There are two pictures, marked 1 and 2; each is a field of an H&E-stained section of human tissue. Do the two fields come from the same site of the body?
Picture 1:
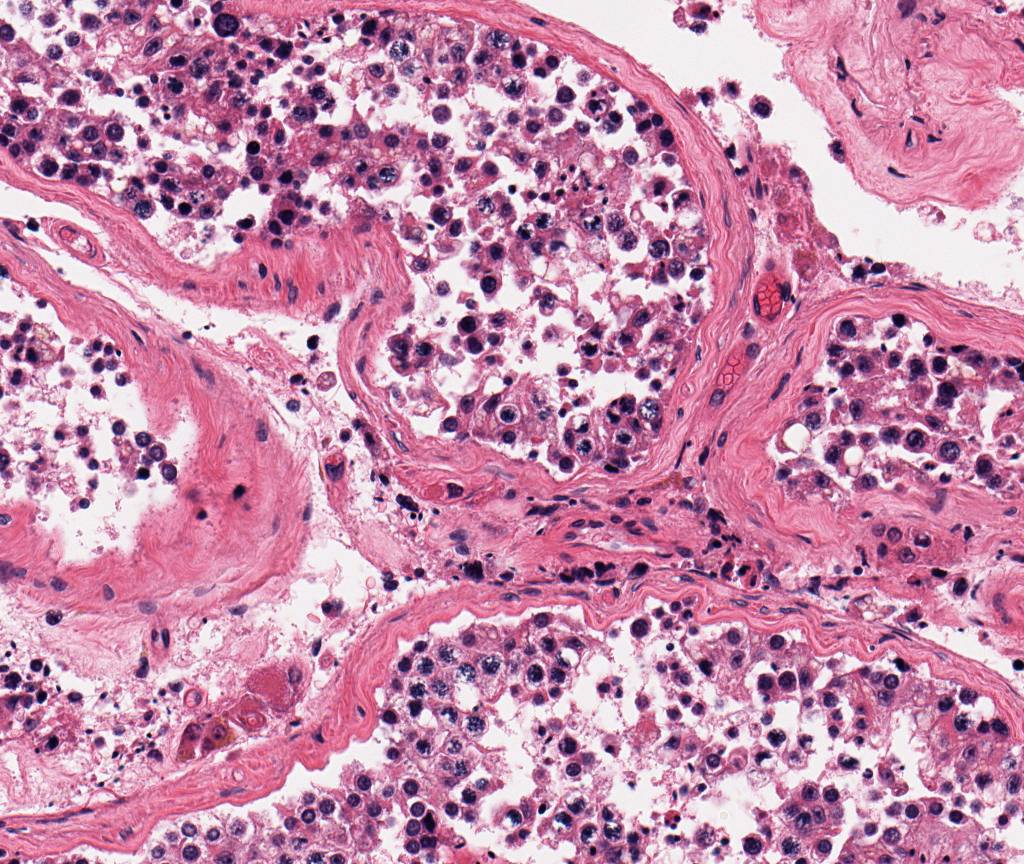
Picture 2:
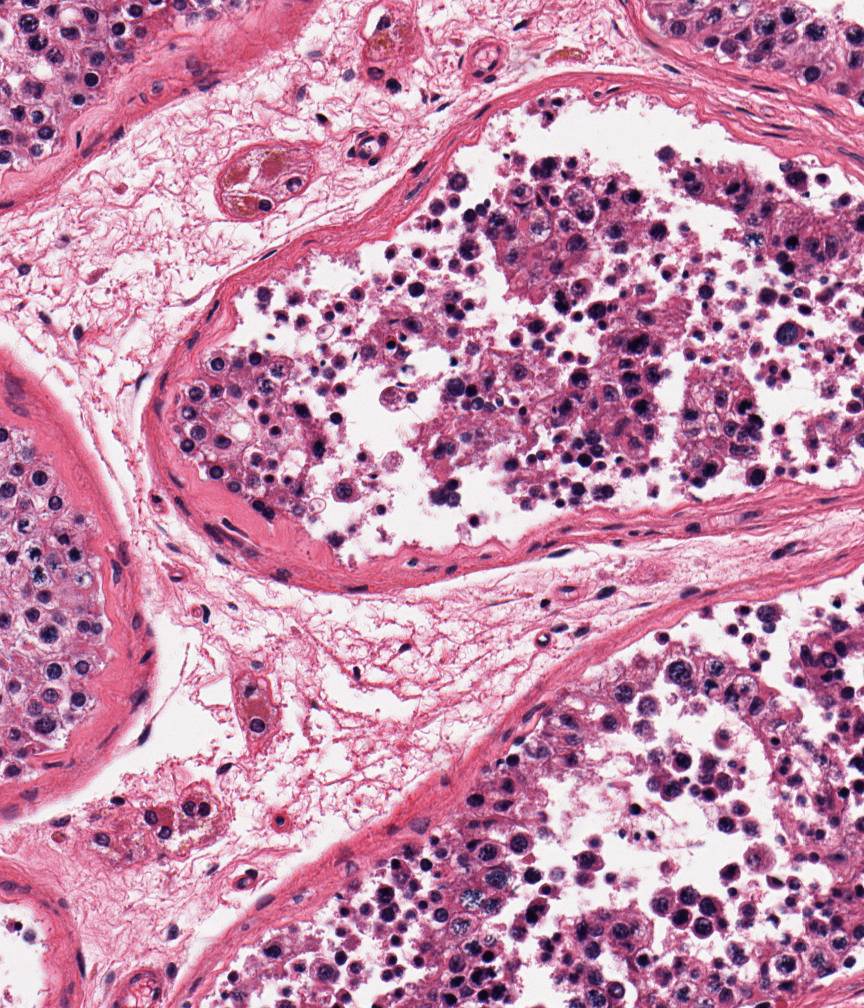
yes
